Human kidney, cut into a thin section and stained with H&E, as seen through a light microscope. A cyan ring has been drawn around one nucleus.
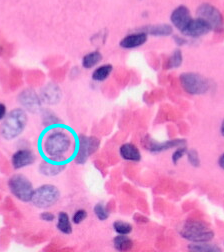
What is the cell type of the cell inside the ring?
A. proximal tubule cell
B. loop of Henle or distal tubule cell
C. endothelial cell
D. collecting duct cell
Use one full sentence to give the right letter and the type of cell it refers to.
The correct option is D, as the cell inside the ring is a collecting duct cell.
